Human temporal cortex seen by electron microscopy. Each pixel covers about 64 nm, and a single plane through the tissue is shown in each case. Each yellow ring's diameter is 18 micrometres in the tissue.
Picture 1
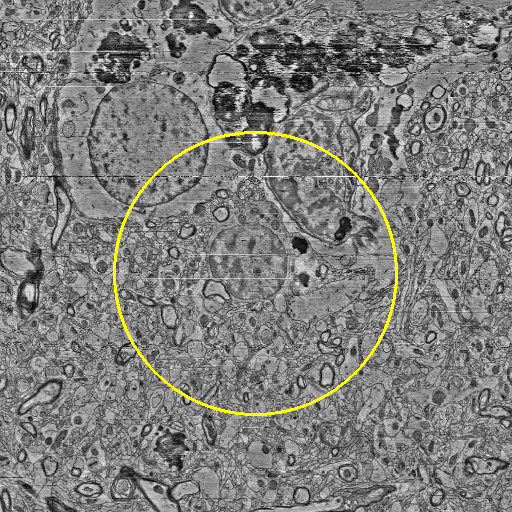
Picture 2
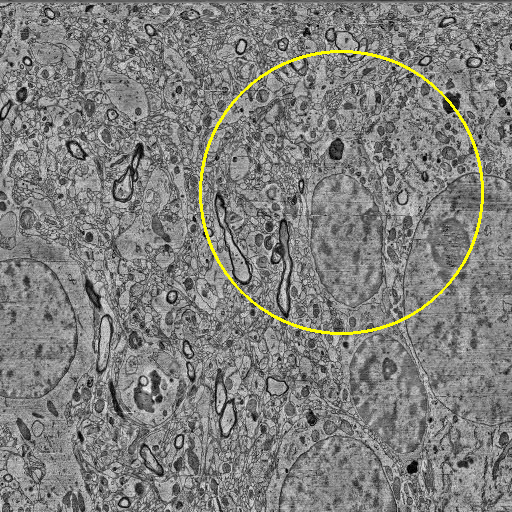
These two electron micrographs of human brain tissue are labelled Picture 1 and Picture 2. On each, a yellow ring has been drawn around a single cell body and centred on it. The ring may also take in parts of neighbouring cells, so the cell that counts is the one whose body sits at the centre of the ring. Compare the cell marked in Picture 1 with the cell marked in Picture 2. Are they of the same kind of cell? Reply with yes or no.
yes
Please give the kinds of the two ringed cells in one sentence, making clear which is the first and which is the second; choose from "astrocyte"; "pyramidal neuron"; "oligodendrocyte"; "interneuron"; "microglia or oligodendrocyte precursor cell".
The cell in the first picture is an oligodendrocyte, and so is the one in the second.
